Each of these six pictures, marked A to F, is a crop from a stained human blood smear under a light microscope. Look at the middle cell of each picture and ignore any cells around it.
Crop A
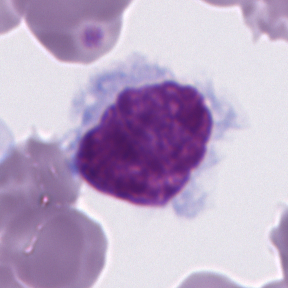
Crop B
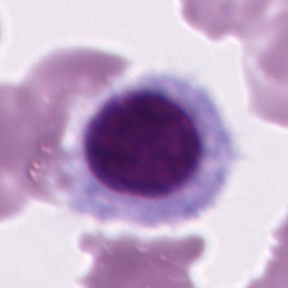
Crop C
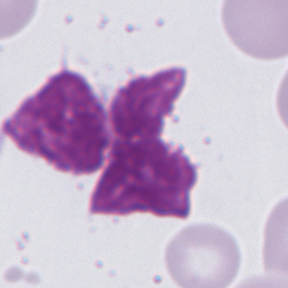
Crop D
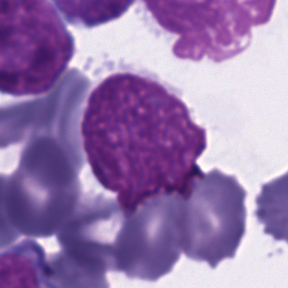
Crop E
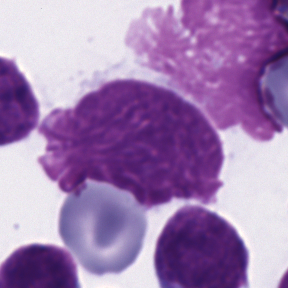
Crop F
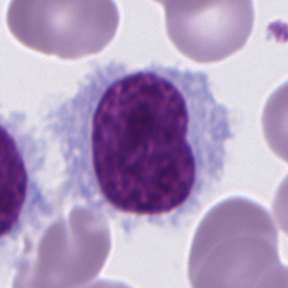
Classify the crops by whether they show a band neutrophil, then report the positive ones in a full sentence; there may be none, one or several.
There is no crop here whose central cell is a band neutrophil.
